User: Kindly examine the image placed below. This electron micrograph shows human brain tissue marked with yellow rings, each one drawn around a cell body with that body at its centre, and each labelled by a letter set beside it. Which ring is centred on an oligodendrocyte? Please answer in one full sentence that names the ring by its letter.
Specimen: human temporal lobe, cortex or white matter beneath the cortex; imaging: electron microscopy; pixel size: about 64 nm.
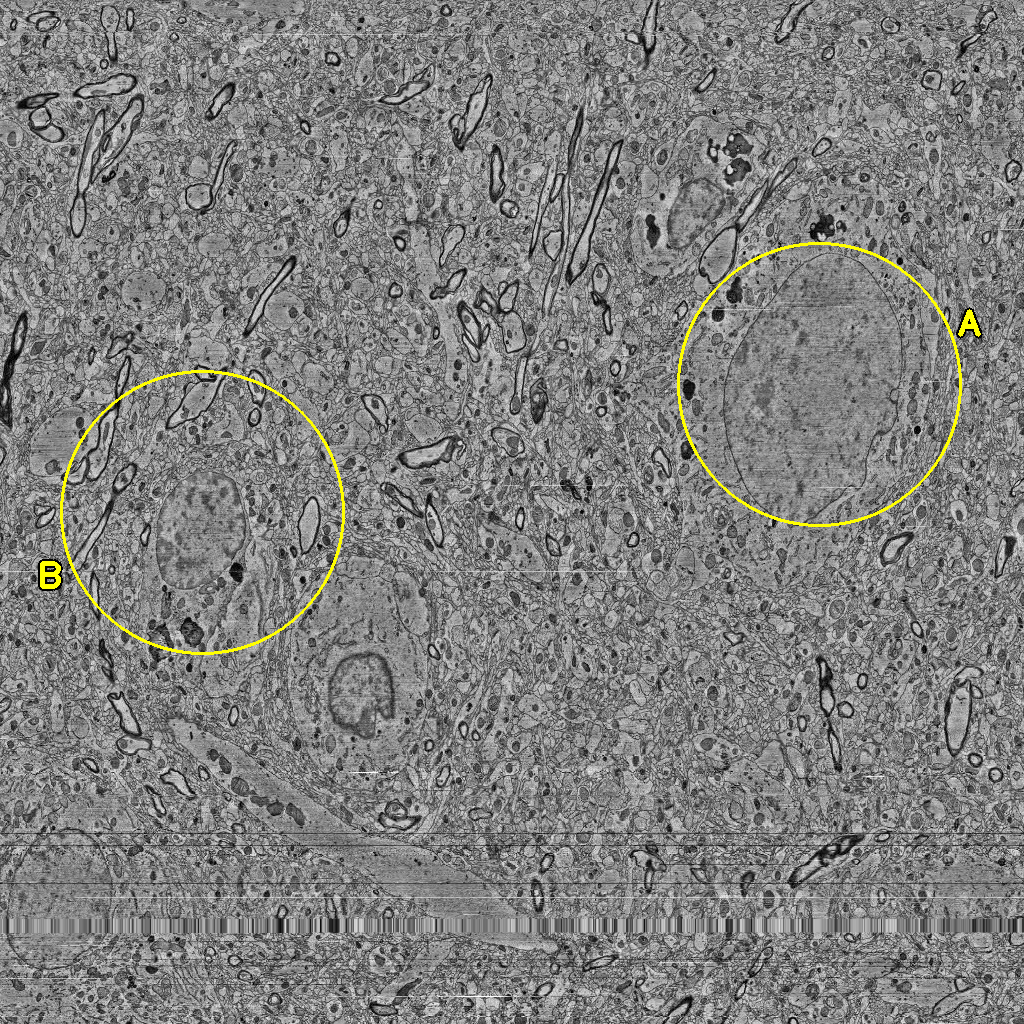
Ring B is the one drawn around the cell asked for.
